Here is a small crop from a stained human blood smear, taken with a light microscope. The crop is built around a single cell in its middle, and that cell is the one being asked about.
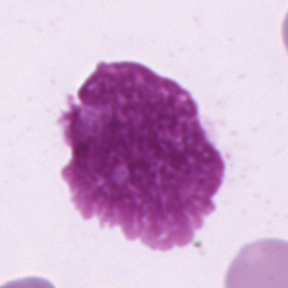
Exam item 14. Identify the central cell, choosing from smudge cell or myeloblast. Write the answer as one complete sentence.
On this slide crop, the central cell is a smudge cell.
